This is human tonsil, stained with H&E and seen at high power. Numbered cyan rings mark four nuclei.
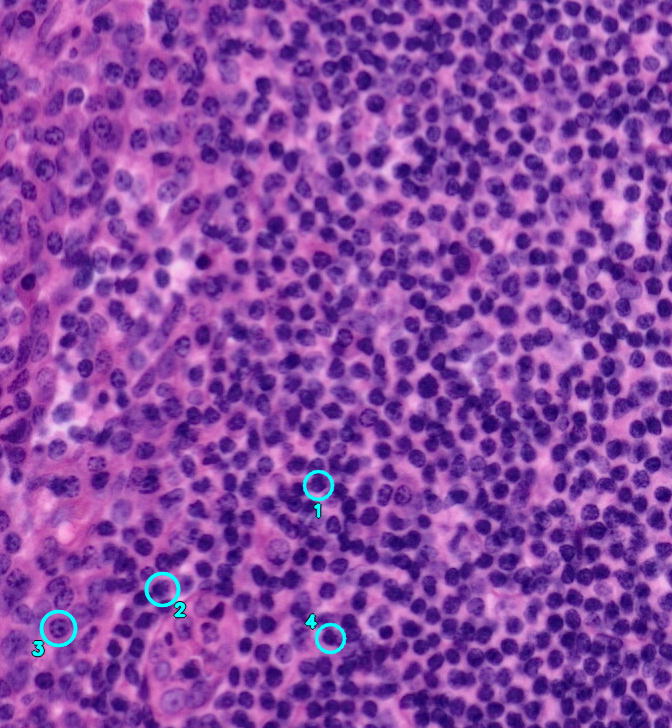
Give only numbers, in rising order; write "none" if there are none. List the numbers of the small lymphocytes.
1, 2, 4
